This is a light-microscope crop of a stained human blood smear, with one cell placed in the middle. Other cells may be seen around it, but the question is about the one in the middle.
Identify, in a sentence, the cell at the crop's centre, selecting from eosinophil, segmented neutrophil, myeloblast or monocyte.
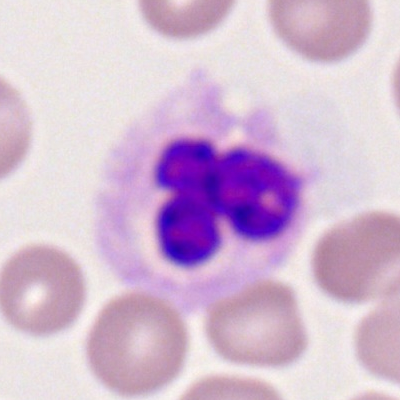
As for the central cell, it is a segmented neutrophil.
